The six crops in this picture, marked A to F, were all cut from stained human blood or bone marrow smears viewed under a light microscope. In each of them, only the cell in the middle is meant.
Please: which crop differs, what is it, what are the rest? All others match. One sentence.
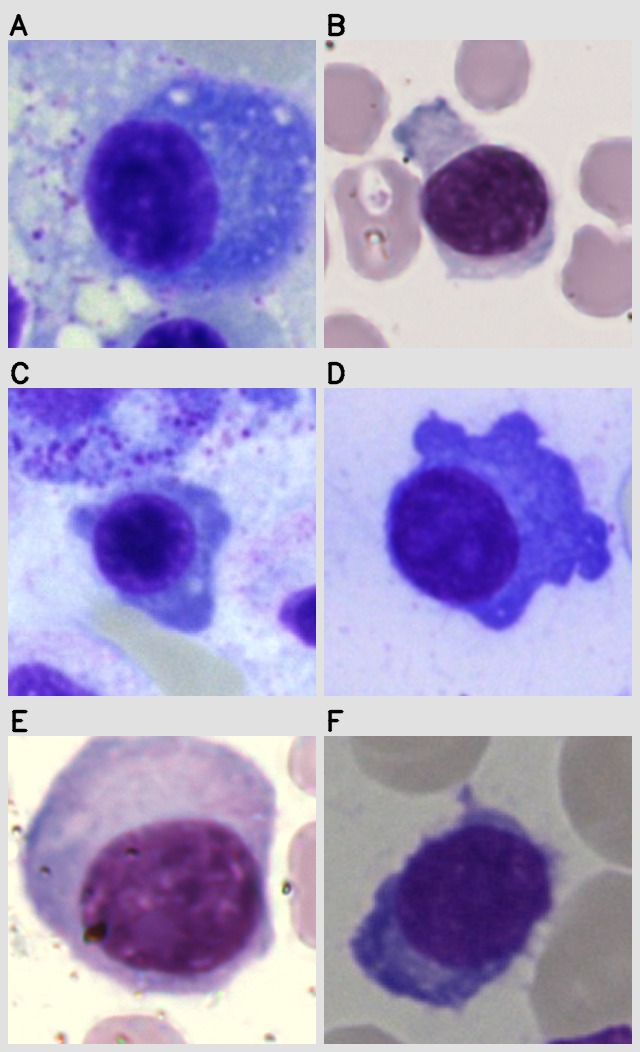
What sets crop C apart is that it is an erythroblast; the others are all plasma cells.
